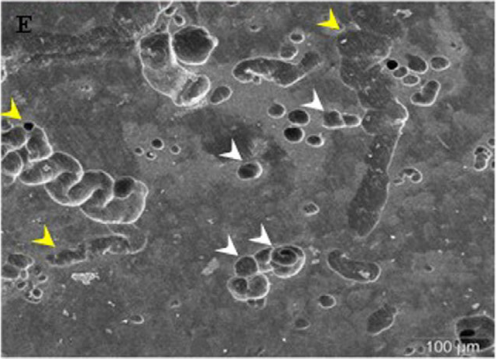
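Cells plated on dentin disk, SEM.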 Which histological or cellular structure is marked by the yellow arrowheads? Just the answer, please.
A: Trenches.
